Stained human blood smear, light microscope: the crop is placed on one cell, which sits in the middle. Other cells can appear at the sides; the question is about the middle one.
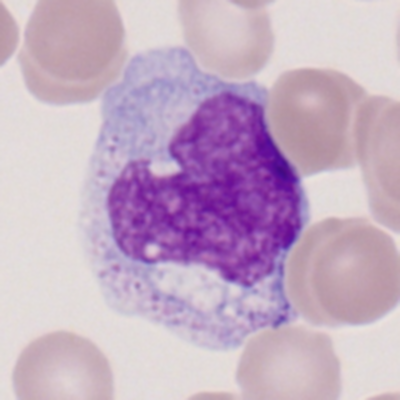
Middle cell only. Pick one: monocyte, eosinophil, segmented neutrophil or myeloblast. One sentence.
The central cell shown in this smear crop is a monocyte.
